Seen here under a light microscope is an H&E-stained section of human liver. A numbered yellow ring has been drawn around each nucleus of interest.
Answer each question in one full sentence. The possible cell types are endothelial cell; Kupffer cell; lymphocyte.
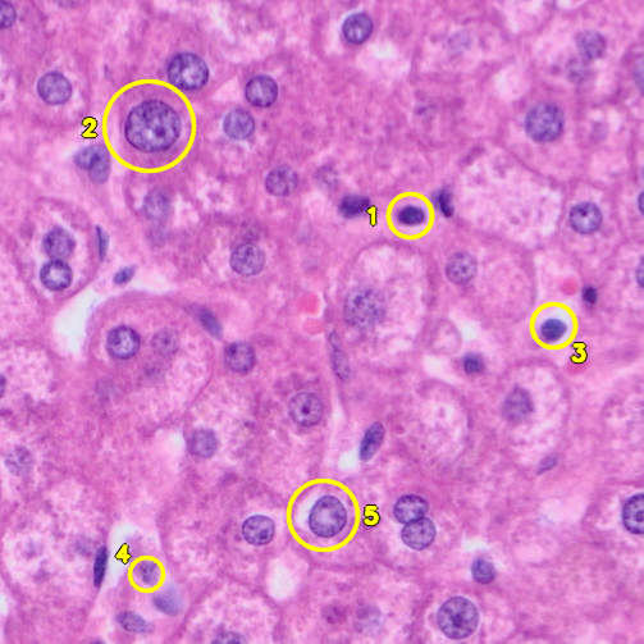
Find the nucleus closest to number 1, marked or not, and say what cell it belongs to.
The nucleus nearest to number 1 is that of an endothelial cell.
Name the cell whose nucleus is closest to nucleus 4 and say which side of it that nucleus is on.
The nearest nucleus is that of an endothelial cell and lies below and to the right of nucleus 4.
